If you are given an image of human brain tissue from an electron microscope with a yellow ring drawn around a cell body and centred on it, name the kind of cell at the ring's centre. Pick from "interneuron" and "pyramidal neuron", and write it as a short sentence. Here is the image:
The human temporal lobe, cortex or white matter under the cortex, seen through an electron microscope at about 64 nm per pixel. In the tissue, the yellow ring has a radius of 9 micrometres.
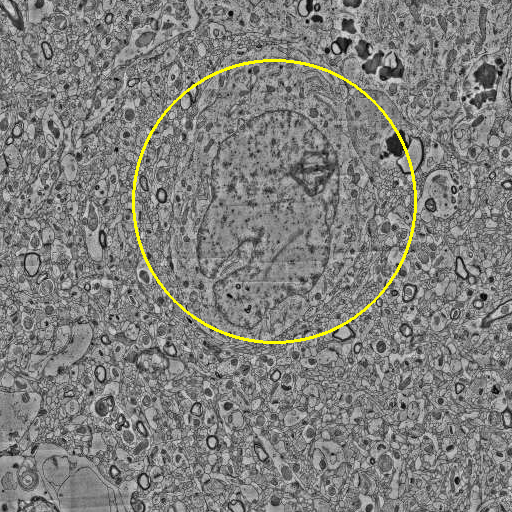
The cell at the ring's centre is an interneuron.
